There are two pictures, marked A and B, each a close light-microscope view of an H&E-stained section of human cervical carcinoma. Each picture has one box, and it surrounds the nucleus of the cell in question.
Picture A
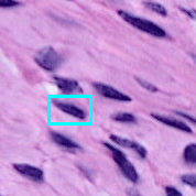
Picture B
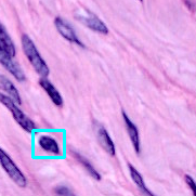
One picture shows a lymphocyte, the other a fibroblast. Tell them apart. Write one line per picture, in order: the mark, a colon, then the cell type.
A: fibroblast
B: lymphocyte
